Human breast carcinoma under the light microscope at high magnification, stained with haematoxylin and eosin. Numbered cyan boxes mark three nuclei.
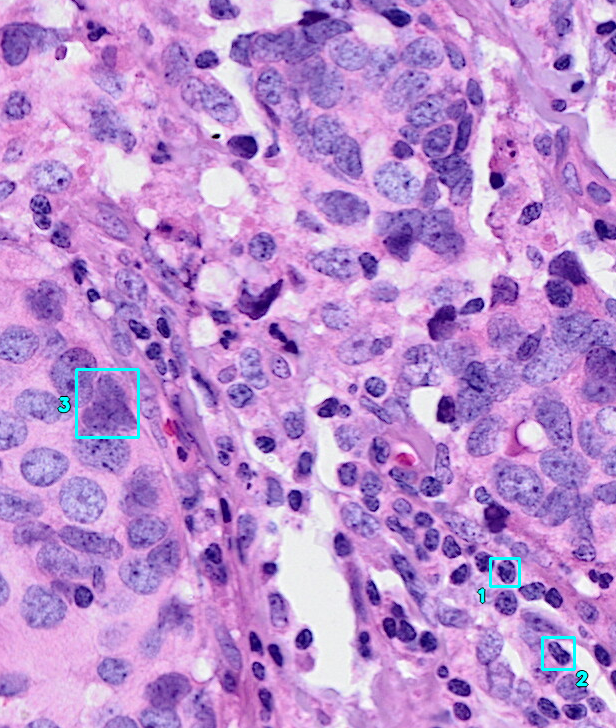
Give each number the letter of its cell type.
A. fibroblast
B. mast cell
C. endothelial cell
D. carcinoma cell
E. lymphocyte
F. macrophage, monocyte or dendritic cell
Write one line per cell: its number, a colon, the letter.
1: E
2: E
3: D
